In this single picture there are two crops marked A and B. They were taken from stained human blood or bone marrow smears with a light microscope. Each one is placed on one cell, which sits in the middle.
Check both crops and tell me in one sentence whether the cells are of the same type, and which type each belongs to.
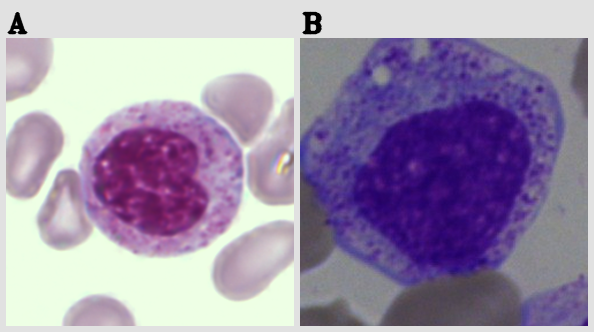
Yes, both crops, not just one, show myelocytes.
